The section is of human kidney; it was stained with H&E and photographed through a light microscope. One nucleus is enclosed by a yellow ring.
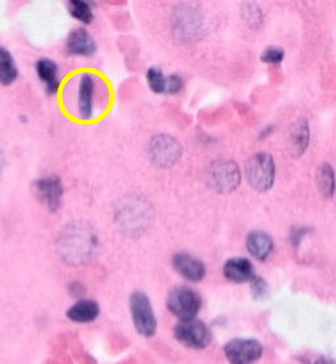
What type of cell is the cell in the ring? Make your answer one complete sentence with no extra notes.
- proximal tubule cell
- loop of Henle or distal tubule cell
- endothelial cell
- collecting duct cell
Considered by cell type, the cell in the ring is an endothelial cell.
